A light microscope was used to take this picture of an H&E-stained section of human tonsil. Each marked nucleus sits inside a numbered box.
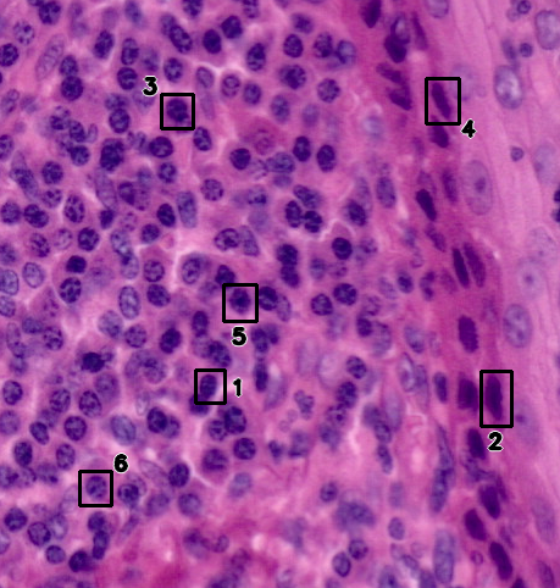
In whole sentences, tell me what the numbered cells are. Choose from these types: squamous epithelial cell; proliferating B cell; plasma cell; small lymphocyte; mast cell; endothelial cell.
Cell 1 is a plasma cell, cell 2 is a squamous epithelial cell, cell 3 is a plasma cell, cell 4 is a squamous epithelial cell, cell 5 is a plasma cell and cell 6 is a plasma cell.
